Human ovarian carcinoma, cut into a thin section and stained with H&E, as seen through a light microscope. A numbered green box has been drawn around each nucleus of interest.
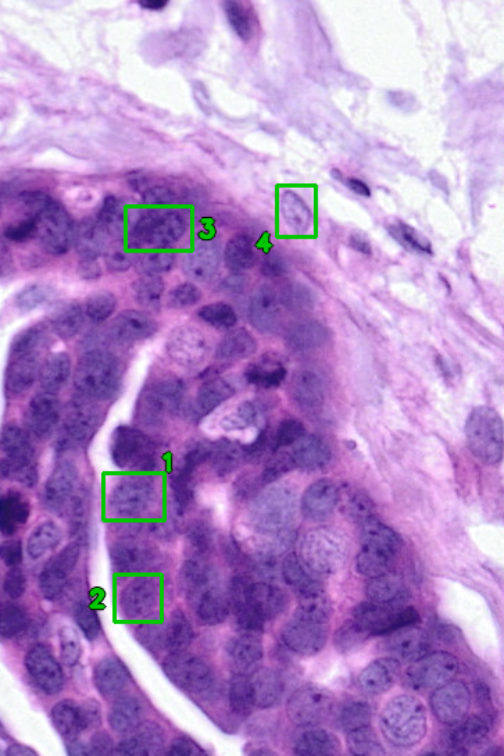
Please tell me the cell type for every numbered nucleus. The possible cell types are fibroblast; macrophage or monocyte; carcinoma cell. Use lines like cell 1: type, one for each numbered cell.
cell 1: carcinoma cell
cell 2: carcinoma cell
cell 3: carcinoma cell
cell 4: fibroblast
